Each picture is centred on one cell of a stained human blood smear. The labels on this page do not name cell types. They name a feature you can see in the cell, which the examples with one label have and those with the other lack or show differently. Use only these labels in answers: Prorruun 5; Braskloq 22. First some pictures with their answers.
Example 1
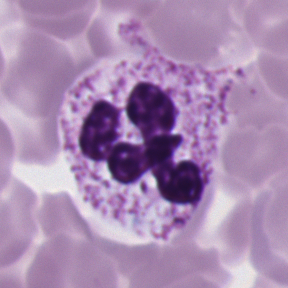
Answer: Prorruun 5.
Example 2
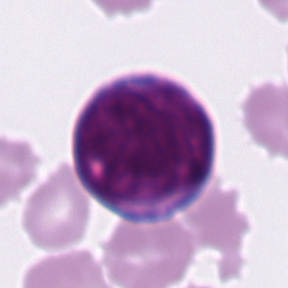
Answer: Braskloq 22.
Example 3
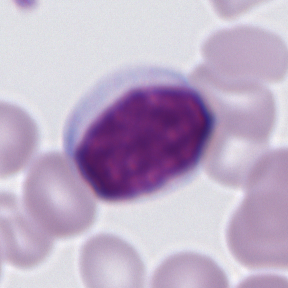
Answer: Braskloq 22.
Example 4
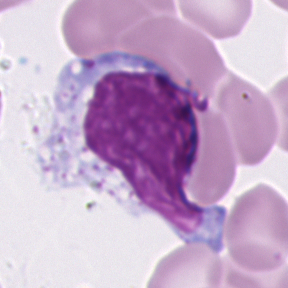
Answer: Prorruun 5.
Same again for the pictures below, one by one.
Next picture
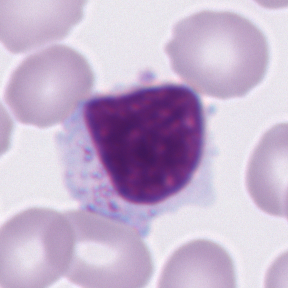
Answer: Prorruun 5.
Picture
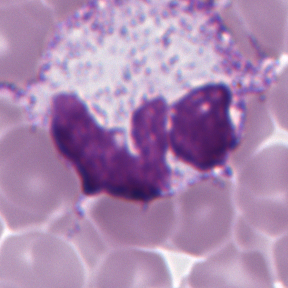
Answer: Prorruun 5.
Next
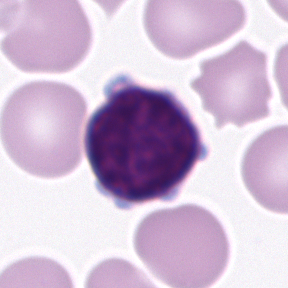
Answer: Prorruun 5.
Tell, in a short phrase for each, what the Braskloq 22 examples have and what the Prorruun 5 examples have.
Braskloq 22: smooth outline; Prorruun 5: ragged outline or projections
